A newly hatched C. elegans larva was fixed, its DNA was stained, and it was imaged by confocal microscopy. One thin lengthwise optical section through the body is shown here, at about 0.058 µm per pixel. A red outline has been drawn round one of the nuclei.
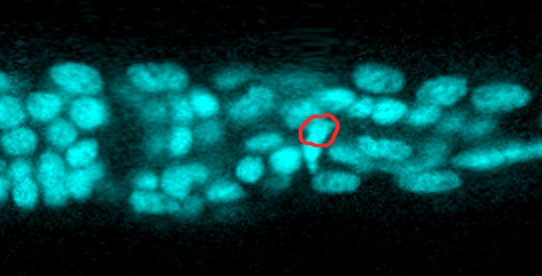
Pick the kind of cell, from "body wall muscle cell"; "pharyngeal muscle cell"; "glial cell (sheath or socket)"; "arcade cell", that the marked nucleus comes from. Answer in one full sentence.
It is the nucleus of a pharyngeal muscle cell.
